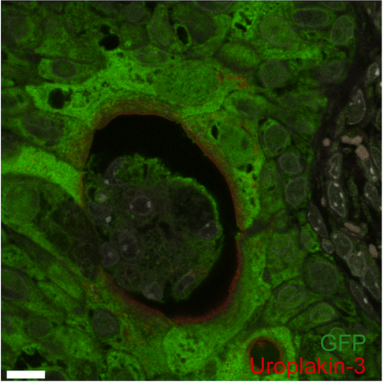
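This is an epithelial structure built by urothelial cells, forming a large rounded lumen within surrounding stroma. The lumen is lined by several layers of cells with green cytoplasm and large oval pale nuclei. A thin red line runs along the surface of the cells facing the lumen. Inside the lumen lies a detached cluster of cells, and a small round body with a red rim sits at the lower right.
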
